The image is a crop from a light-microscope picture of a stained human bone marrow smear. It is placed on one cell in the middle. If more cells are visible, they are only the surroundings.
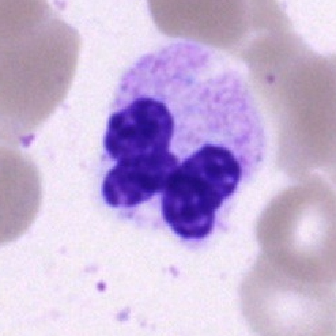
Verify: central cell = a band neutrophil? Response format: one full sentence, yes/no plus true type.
No, instead of a band neutrophil, the middle cell is a segmented neutrophil.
